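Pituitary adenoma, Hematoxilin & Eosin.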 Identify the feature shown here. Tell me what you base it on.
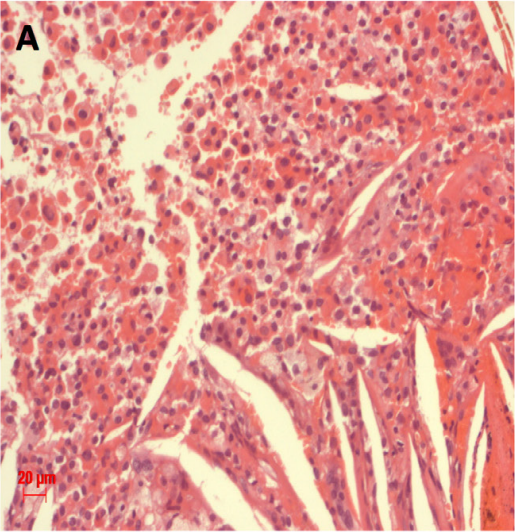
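Long, empty, needle-shaped spaces with pointed ends cut through the tissue. The slits are arranged in parallel groups in the lower right.
Conclusion: cholesterol clefts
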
